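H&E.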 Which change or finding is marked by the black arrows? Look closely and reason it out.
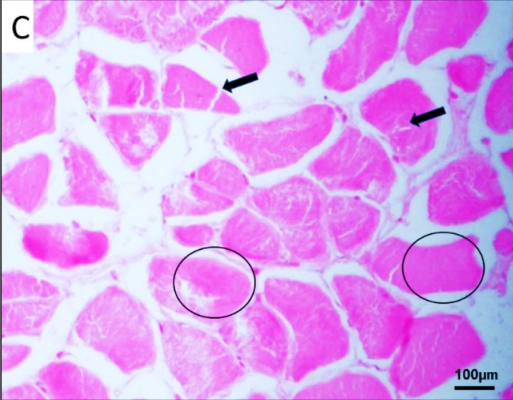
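The arrows point to thin clefts running across pink cross-sectioned fibers. The clefts divide single fibers into parts.
Answer: Muscle fiber splitting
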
